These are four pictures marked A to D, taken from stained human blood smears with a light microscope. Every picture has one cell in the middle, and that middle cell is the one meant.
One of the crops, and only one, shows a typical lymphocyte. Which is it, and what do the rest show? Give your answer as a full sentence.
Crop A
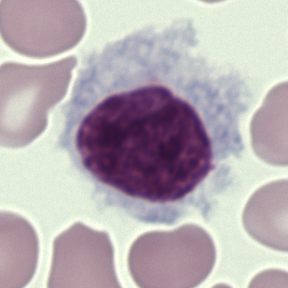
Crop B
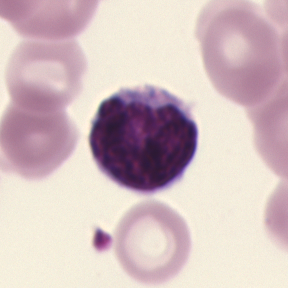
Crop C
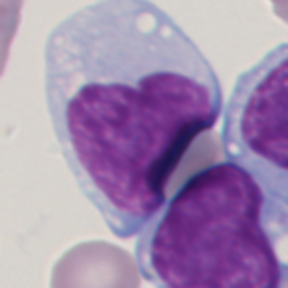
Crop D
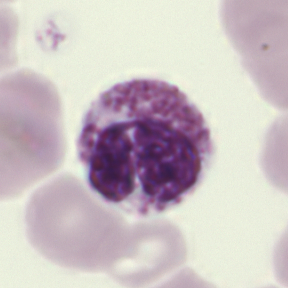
In crop B the cell is a typical lymphocyte, whereas crop A is a hairy cell, crop C is a myeloblast and crop D is an eosinophil.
